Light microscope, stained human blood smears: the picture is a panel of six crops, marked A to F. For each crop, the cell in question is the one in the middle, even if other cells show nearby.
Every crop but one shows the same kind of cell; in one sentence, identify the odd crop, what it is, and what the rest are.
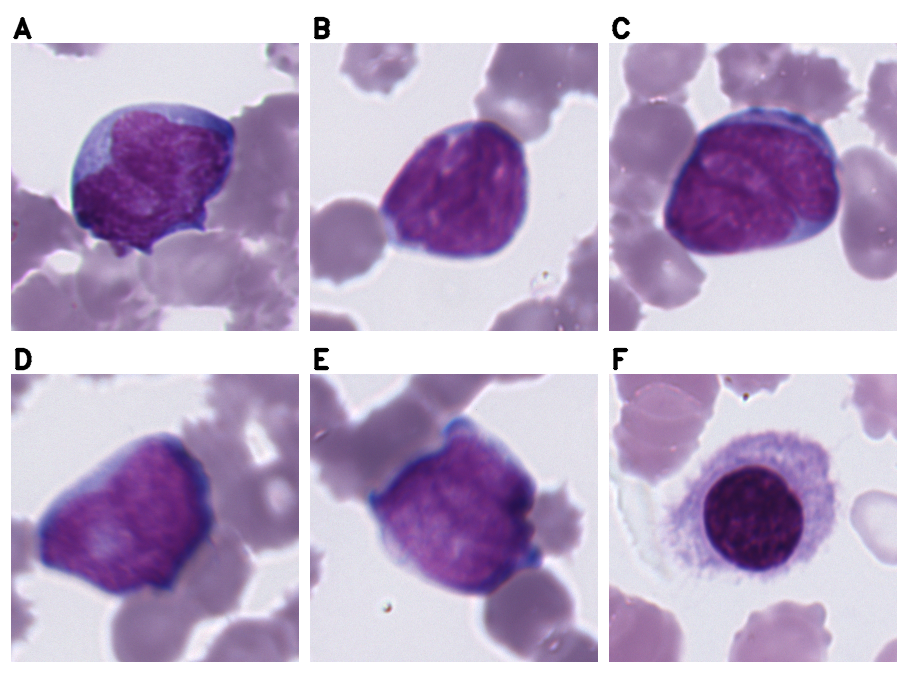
The different one is crop F, which is a hairy cell; the rest all show myeloblasts.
